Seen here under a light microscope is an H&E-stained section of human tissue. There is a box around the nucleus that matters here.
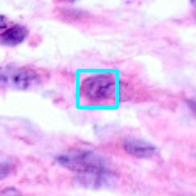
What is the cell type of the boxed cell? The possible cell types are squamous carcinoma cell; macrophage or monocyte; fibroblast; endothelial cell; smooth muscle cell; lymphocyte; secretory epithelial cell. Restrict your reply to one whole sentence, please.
In this tissue sample, the boxed cell is a macrophage or monocyte.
